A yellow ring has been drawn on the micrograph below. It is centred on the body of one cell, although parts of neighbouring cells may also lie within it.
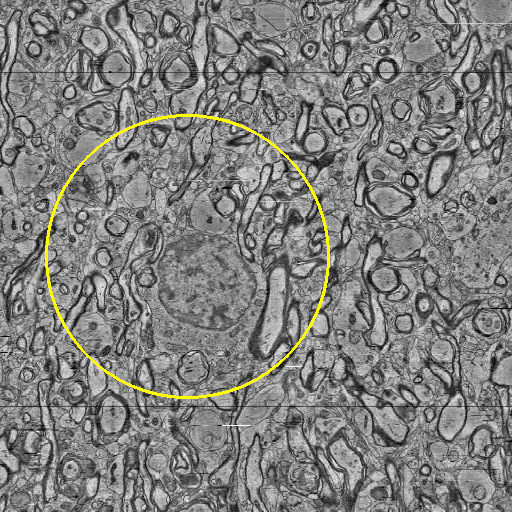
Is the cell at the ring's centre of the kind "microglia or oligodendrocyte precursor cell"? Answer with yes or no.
no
